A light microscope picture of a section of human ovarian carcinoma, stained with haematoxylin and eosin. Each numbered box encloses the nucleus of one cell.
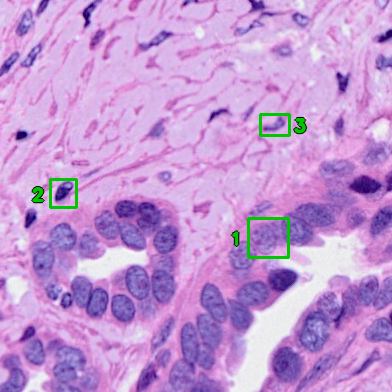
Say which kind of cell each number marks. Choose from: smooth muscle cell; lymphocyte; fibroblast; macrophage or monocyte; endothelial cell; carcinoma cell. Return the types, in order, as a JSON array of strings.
["carcinoma cell", "lymphocyte", "fibroblast"]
